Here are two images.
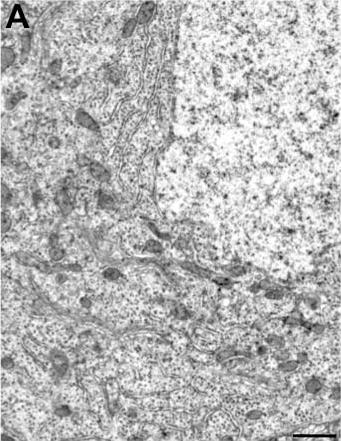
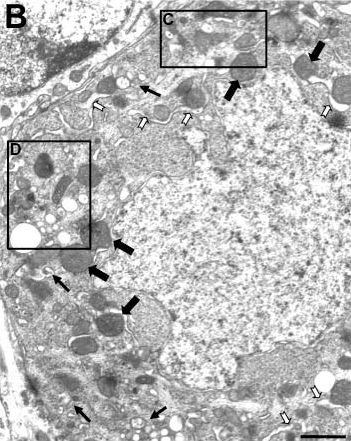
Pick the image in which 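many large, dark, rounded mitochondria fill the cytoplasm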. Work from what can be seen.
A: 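Second image: numerous large, round, dark organelles and pale vacuoles in the cytoplasm. First image: small, grey mitochondria among regular stacked membranes.
The second image.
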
